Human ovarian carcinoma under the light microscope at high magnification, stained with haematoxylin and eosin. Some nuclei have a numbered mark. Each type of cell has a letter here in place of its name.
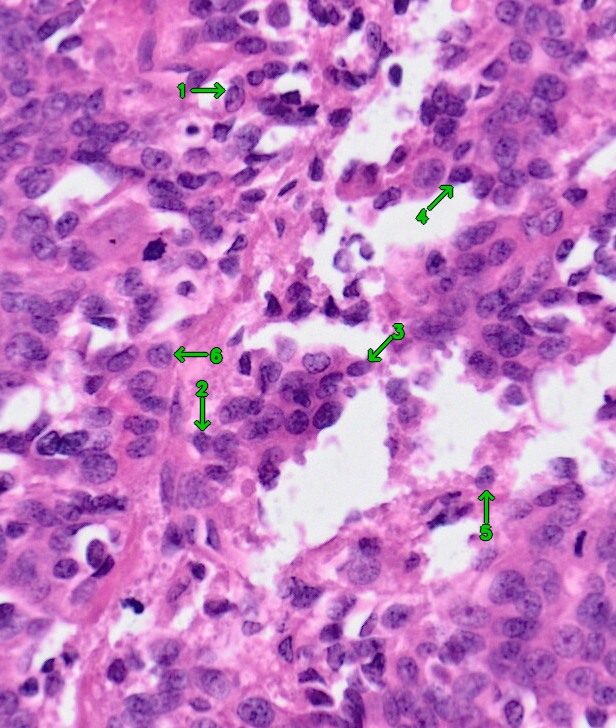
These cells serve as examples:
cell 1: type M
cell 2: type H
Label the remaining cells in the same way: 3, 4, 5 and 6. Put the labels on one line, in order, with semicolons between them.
type H; type H; type M; type H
